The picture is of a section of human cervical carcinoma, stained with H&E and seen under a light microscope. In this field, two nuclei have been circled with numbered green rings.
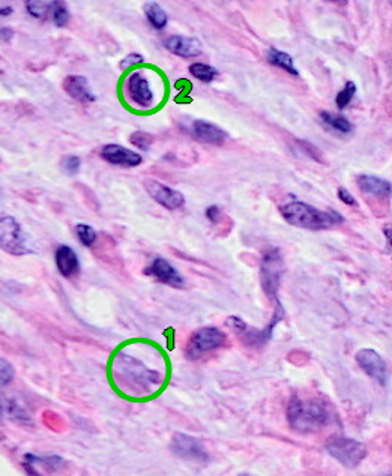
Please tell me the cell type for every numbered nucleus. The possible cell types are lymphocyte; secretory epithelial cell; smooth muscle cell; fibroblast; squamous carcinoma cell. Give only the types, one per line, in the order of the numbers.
fibroblast
lymphocyte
